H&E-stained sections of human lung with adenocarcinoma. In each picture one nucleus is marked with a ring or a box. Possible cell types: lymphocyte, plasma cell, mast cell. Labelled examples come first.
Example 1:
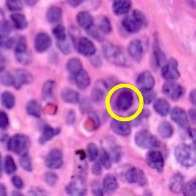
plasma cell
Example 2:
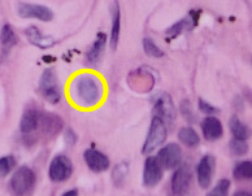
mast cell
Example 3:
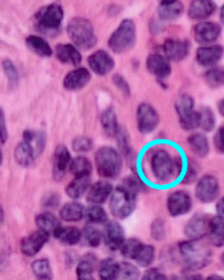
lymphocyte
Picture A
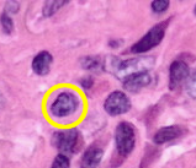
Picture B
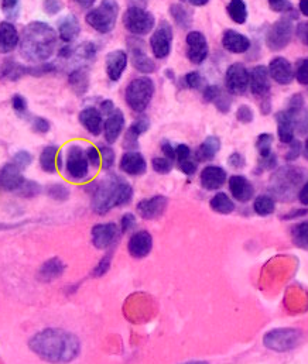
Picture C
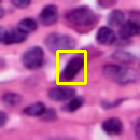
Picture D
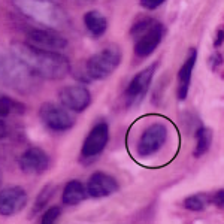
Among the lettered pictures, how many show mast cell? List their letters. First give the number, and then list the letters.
2: A, D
